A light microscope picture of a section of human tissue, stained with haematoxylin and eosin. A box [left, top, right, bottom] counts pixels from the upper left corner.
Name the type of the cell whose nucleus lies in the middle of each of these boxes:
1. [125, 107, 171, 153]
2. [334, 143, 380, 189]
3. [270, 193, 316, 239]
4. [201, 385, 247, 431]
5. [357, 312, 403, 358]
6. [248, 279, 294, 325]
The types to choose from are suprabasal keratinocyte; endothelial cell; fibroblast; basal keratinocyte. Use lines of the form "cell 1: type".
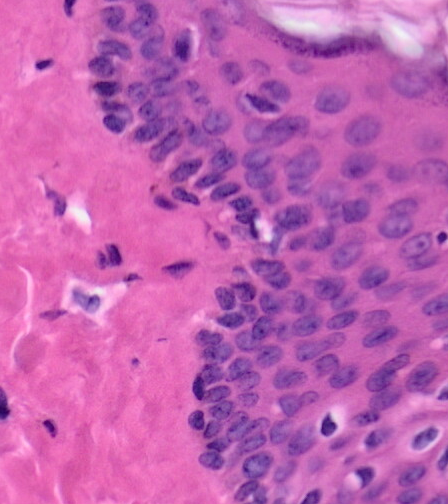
cell 1: basal keratinocyte
cell 2: suprabasal keratinocyte
cell 3: basal keratinocyte
cell 4: basal keratinocyte
cell 5: suprabasal keratinocyte
cell 6: basal keratinocyte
